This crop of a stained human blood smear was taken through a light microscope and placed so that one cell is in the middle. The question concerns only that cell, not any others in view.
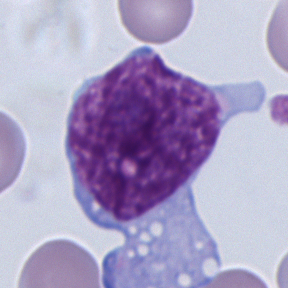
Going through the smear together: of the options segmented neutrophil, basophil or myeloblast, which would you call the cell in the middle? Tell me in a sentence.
The cell around which this crop is centred is a myeloblast.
